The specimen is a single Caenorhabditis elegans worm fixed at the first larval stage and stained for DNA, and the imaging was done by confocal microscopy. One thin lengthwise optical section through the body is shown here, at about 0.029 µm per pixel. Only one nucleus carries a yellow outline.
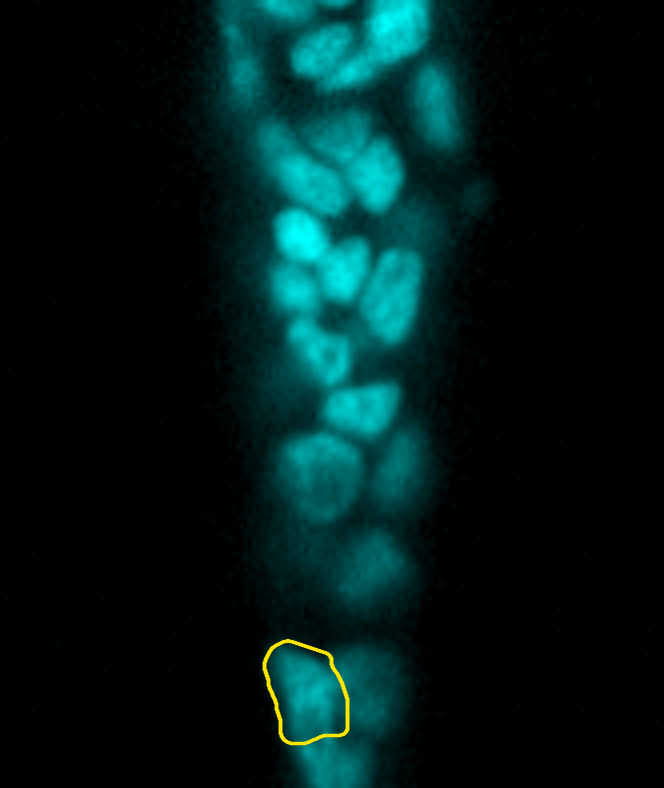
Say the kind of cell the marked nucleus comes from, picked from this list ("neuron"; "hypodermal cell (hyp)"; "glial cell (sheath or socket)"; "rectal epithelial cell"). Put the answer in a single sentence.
The nucleus comes from a hypodermal cell (hyp).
